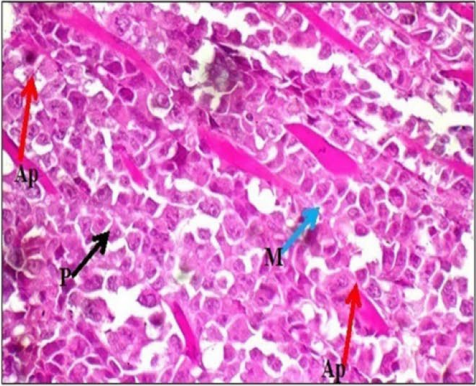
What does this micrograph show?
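Tumor tissue made of sheets of densely packed tumor cells infiltrating between skeletal muscle fibers. The tumor cells are polygonal to rounded and vary in size and shape. Thin, elongated, deeply pink fragments of muscle fiber lie scattered among the cells. Some cells show dense, darker nuclei and shrunken outlines.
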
